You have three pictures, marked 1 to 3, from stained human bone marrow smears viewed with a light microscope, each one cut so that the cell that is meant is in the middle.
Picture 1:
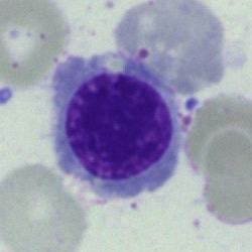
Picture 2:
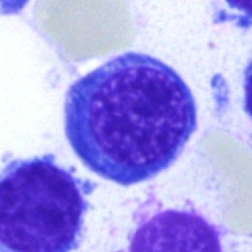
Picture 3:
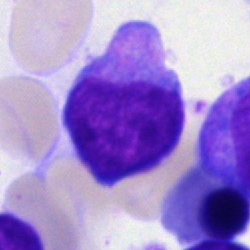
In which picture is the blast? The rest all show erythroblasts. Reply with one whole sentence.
Picture 3 shows the blast.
